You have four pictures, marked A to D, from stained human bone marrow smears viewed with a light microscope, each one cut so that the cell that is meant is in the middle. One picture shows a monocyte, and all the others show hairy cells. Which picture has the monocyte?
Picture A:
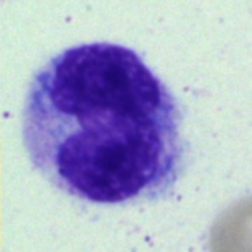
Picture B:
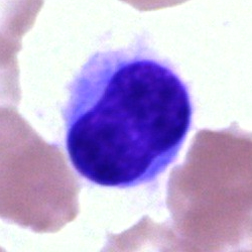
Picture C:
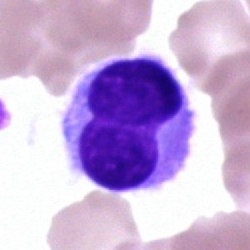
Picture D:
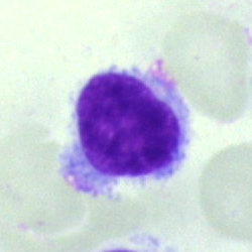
A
